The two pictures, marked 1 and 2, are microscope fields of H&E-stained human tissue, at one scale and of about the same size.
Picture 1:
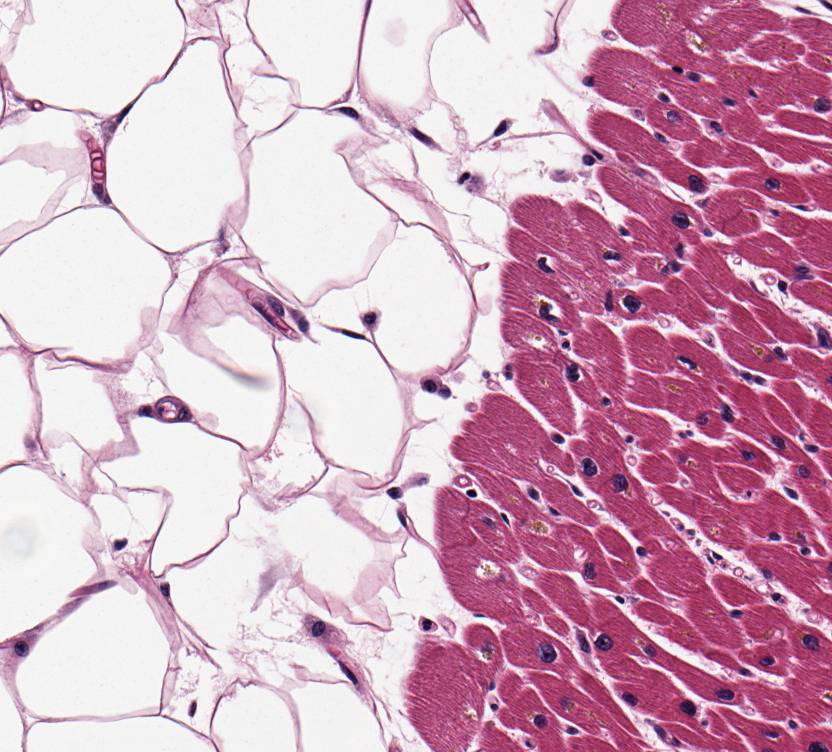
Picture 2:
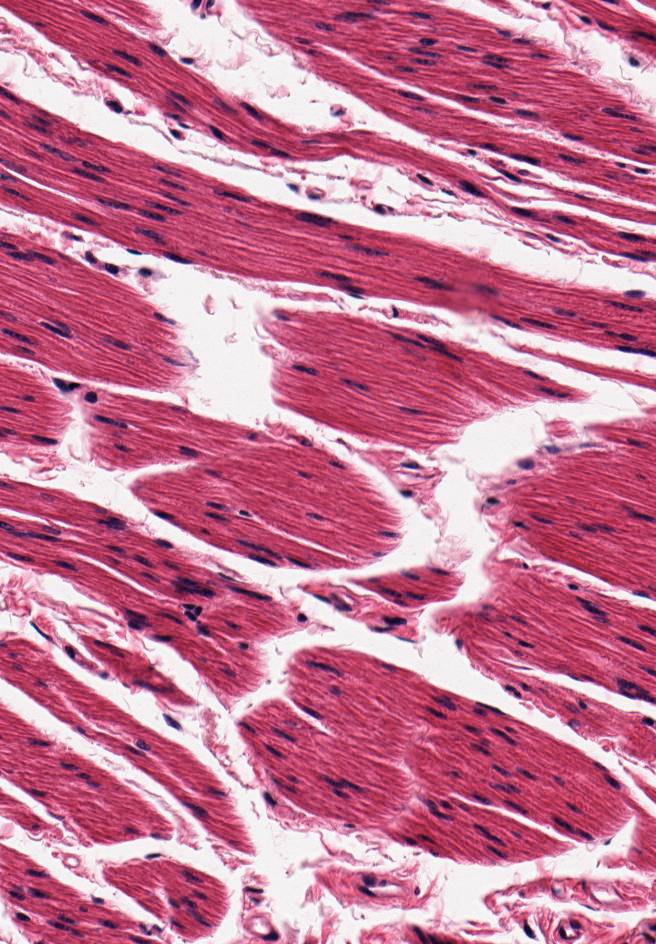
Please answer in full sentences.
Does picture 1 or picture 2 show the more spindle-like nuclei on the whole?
On the whole the nuclei of picture 2 are more drawn out than those of picture 1.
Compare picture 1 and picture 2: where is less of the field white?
Less of picture 2 is empty and white.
